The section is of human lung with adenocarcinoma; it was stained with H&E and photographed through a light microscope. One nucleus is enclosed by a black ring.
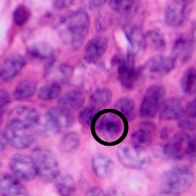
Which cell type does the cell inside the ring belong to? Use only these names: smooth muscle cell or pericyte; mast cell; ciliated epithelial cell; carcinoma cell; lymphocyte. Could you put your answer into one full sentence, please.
To be brief about it, the cell inside the ring is a ciliated epithelial cell.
